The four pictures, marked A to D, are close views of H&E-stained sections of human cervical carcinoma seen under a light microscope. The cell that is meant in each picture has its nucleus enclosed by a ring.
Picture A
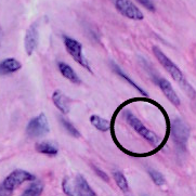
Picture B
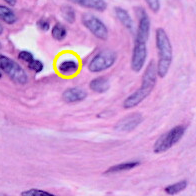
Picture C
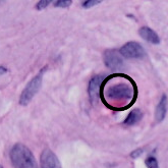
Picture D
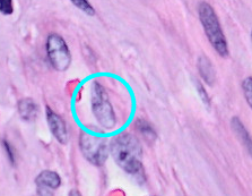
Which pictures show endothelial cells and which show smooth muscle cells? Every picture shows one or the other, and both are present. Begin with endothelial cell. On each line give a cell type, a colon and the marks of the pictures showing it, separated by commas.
endothelial cell: B, C, D
smooth muscle cell: A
